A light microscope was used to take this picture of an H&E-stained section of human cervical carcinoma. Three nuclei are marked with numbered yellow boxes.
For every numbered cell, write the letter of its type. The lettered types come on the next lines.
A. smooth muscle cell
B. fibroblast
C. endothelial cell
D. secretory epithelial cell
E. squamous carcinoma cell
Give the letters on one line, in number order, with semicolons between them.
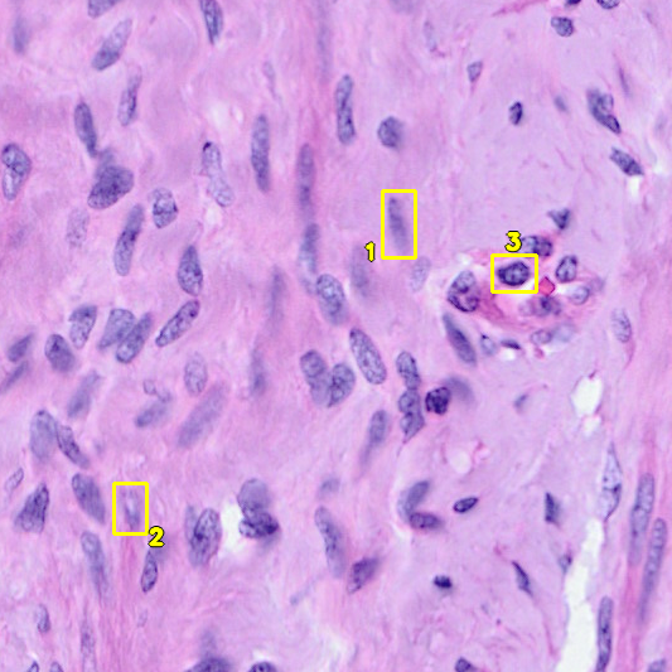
B; A; C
